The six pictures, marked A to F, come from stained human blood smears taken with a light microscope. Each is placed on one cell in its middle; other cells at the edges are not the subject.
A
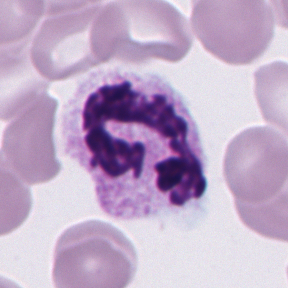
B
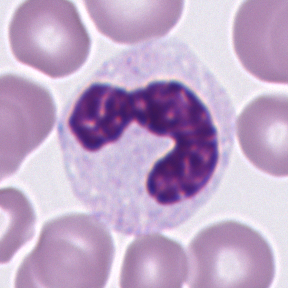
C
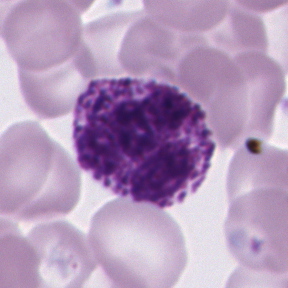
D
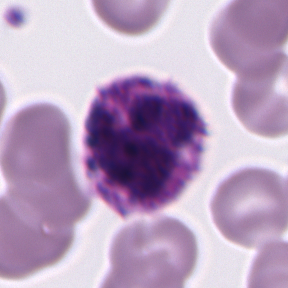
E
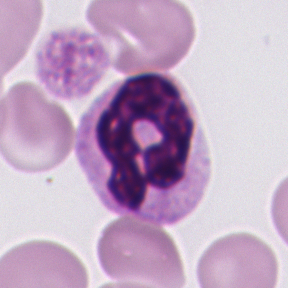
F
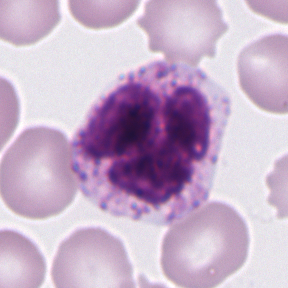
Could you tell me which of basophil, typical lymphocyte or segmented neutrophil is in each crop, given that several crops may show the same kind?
A: segmented neutrophil
B: segmented neutrophil
C: basophil
D: basophil
E: segmented neutrophil
F: basophil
